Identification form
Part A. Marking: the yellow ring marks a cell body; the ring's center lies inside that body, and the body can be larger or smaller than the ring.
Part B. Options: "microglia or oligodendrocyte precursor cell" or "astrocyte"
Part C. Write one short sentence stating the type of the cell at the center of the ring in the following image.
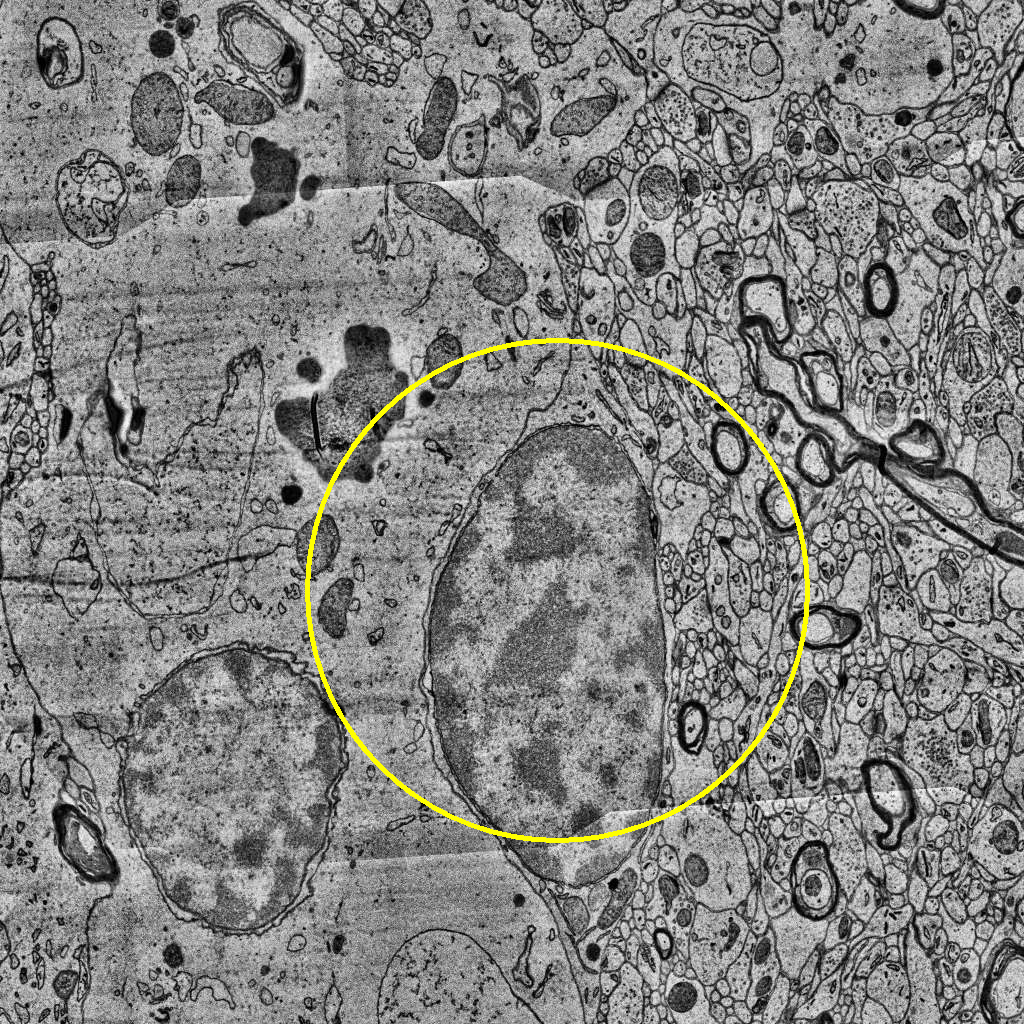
The center of the ring holds a microglial cell or oligodendrocyte precursor cell.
